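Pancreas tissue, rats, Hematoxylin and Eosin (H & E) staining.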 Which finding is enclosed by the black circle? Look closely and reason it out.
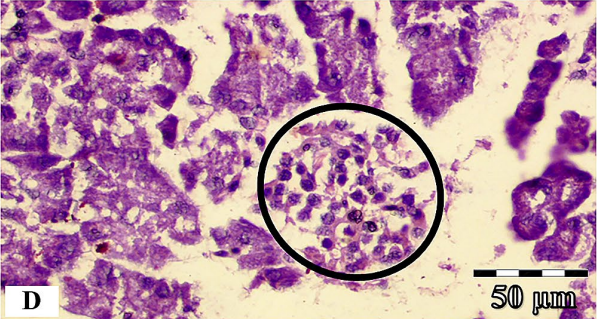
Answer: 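Necrotic changes in the islets. The circled cluster consists of loosely arranged, pale-staining cells with scattered dark nuclei. The surrounding tissue is fragmented, with irregular clumps separated by empty spaces.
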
